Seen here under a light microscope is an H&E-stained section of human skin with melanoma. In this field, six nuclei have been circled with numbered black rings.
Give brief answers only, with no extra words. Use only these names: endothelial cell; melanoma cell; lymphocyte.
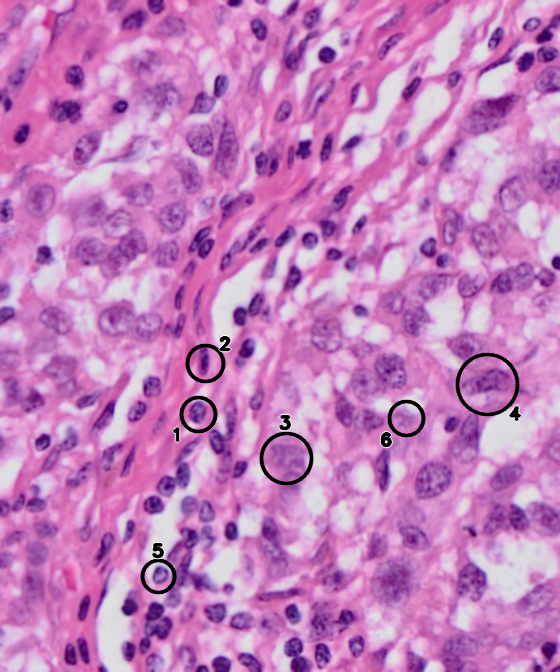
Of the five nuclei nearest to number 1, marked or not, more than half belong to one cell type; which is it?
endothelial cell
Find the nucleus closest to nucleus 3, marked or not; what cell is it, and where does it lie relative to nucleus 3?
a melanoma cell, below nucleus 3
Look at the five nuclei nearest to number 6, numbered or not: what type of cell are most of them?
melanoma cell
